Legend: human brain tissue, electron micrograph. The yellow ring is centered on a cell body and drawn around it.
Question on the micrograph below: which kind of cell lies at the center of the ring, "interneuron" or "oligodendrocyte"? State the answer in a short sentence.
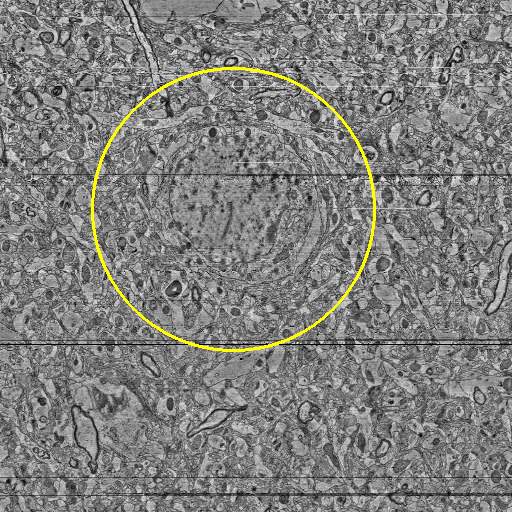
At the center of the ring lies an interneuron.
